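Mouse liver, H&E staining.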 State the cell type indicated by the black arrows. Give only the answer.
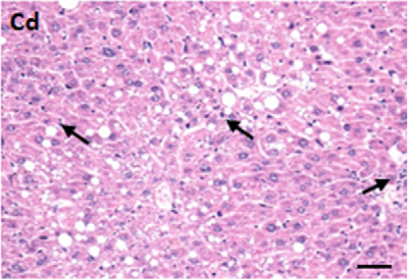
Inflammatory cells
